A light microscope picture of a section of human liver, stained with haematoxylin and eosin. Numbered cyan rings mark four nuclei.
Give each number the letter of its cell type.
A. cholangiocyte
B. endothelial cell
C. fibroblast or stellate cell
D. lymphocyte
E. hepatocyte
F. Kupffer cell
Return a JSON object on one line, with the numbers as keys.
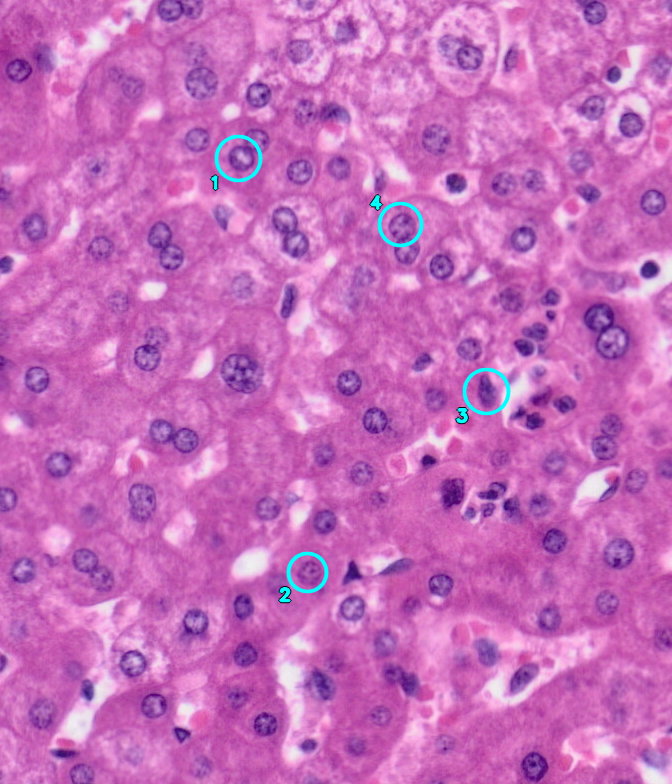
{"1": "E", "2": "E", "3": "C", "4": "E"}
